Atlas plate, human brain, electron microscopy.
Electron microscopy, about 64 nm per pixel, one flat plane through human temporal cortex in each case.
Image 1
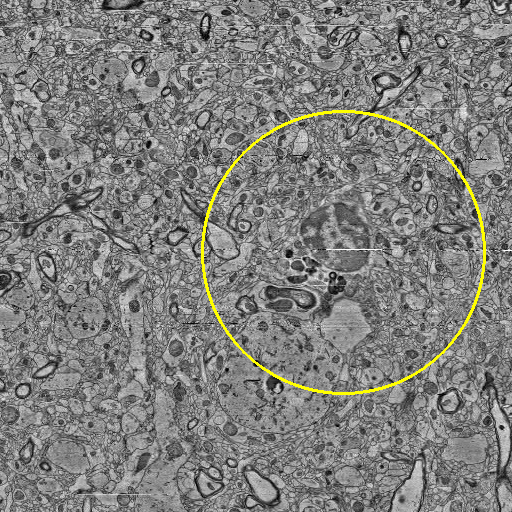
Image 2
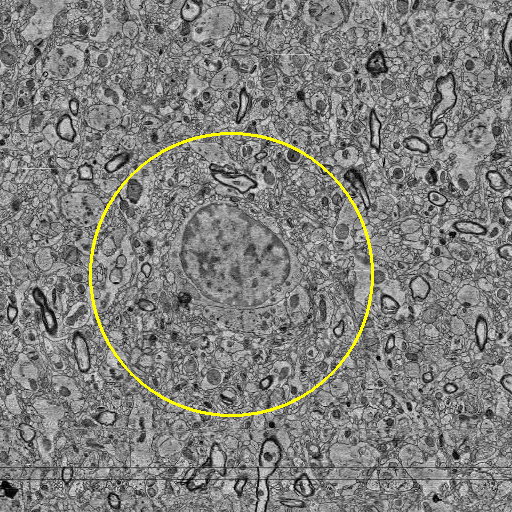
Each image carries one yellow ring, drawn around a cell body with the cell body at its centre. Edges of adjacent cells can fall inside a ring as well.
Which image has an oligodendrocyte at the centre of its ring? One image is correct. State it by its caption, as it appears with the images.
Image 2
